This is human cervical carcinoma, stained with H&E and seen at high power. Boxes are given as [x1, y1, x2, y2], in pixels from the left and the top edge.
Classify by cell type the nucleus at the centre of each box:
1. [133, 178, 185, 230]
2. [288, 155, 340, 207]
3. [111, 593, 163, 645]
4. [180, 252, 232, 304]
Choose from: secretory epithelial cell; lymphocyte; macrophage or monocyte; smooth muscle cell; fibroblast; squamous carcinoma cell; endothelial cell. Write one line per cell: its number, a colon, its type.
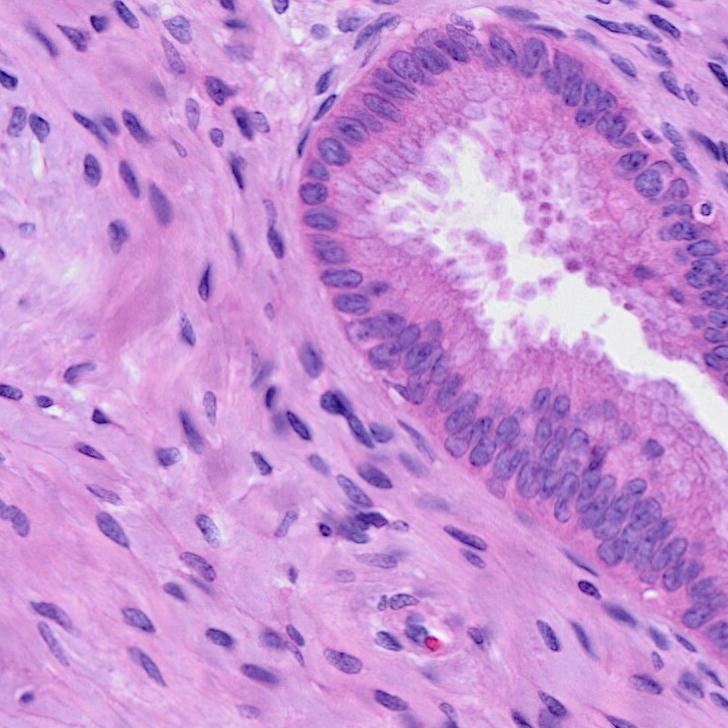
1: fibroblast
2: secretory epithelial cell
3: fibroblast
4: fibroblast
